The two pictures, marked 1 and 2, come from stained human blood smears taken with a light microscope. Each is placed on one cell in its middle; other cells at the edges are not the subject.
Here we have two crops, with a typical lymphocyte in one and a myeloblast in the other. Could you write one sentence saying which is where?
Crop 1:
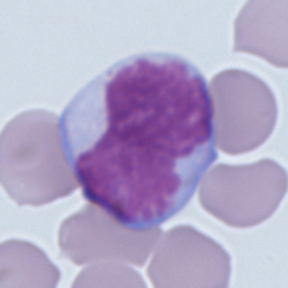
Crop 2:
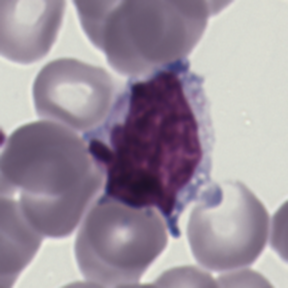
Crop 1 presents a myeloblast, and crop 2 presents a typical lymphocyte.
